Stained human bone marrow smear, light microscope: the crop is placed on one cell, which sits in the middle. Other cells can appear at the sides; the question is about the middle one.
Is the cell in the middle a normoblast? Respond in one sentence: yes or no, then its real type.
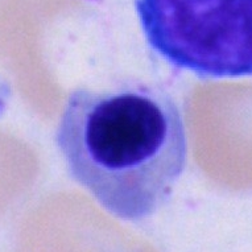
Yes, the cell in the middle is recognised as a normoblast.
